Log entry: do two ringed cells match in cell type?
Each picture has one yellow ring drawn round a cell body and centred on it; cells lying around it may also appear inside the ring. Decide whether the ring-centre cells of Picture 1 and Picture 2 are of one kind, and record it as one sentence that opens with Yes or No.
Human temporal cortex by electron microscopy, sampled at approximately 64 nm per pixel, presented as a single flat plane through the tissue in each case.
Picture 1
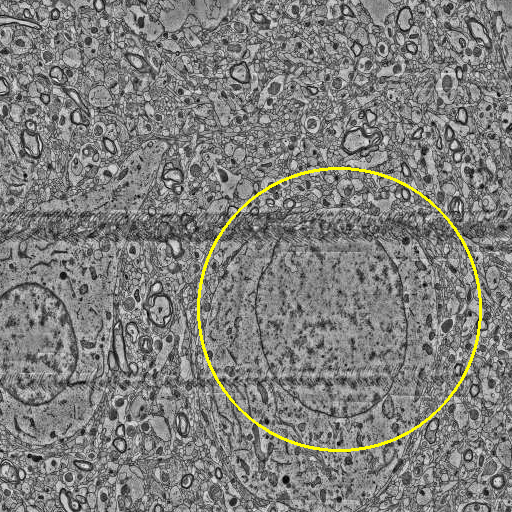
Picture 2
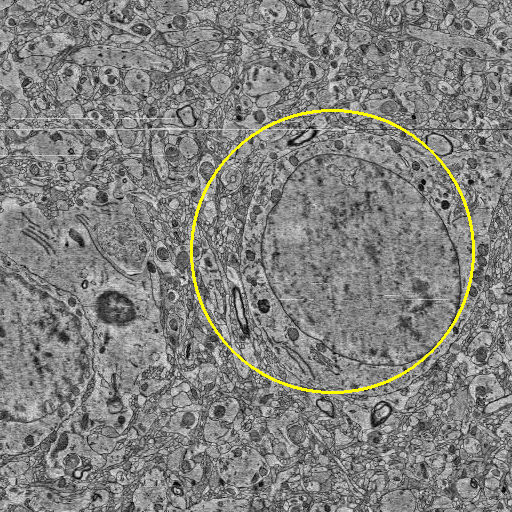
Yes, the cells at the ring centres of the two pictures belong to one kind.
